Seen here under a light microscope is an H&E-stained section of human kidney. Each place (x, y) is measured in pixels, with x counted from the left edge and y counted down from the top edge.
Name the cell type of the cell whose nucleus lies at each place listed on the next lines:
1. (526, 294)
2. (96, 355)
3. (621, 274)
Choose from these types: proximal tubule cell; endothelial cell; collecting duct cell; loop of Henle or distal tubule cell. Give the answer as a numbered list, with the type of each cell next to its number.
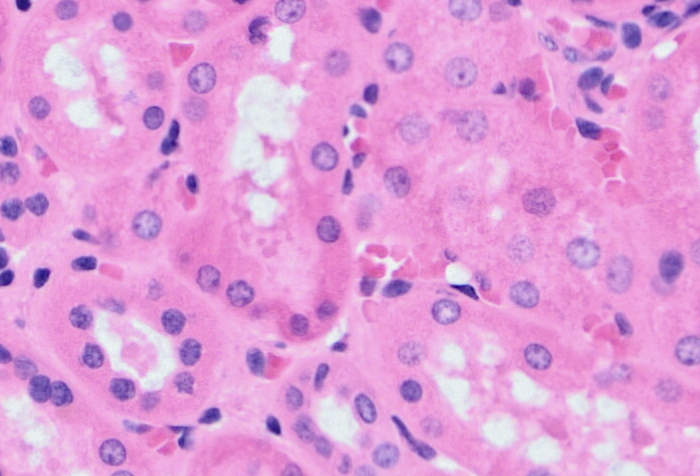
1. proximal tubule cell
2. loop of Henle or distal tubule cell
3. proximal tubule cell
